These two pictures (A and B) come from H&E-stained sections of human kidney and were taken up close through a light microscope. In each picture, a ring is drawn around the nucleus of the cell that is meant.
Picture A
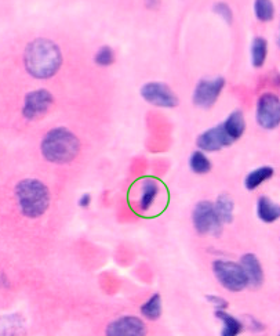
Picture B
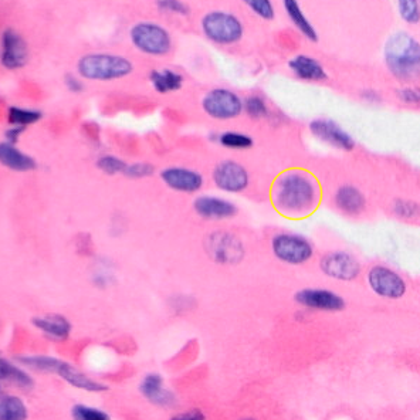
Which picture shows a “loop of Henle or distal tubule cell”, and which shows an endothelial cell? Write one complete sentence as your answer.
The cell in picture A is an endothelial cell, and the one in picture B is a “loop of Henle or distal tubule cell”.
